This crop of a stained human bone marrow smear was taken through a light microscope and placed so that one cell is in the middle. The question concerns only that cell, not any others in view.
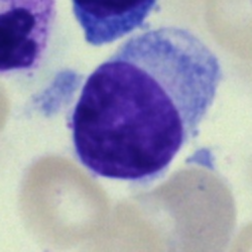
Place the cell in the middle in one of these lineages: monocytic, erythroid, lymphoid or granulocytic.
lymphoid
